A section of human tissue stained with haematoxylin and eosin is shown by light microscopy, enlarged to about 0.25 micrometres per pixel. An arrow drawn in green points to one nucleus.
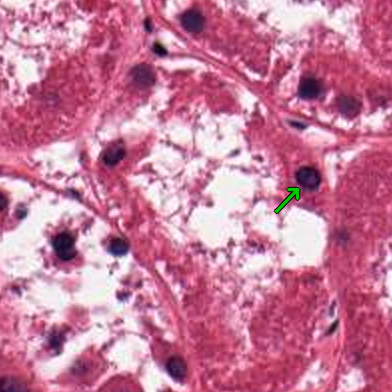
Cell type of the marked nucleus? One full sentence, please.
The marked nucleus forms part of a proximal tubule cell.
